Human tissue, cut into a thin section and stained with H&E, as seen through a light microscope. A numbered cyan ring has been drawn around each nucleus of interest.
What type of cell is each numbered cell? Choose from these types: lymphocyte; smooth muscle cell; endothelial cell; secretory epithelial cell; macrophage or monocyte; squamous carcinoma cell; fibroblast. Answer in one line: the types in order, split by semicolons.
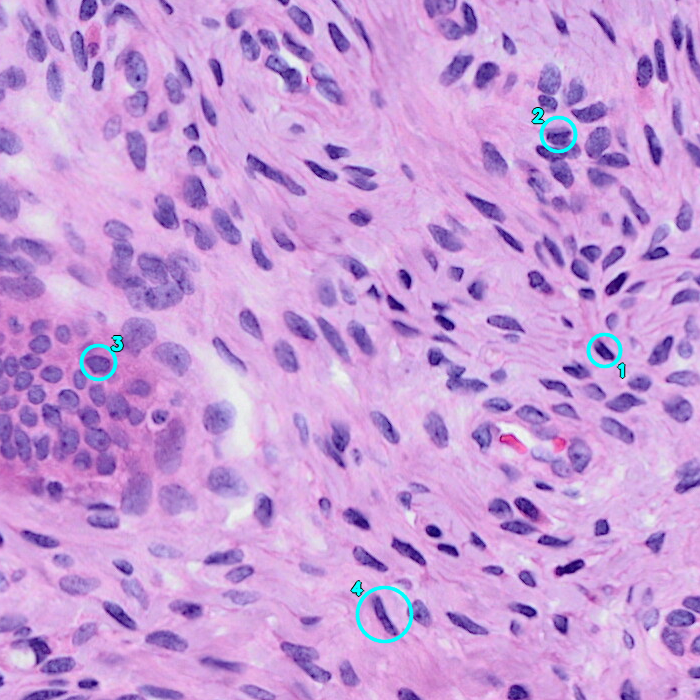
fibroblast; fibroblast; secretory epithelial cell; fibroblast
